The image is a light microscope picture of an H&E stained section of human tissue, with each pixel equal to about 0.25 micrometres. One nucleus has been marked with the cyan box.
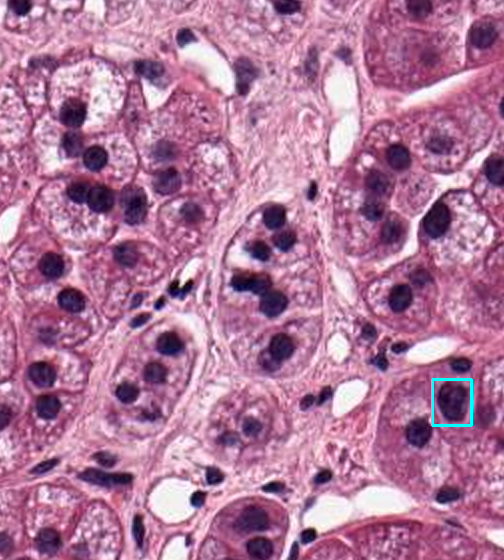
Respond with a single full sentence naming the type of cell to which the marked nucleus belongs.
It is to an adrenal cortical cell that the marked nucleus belongs.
